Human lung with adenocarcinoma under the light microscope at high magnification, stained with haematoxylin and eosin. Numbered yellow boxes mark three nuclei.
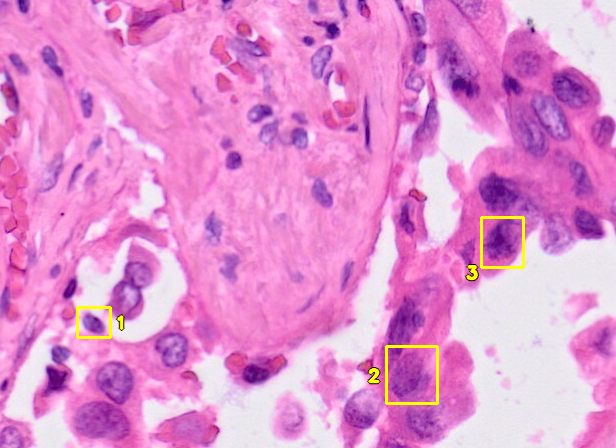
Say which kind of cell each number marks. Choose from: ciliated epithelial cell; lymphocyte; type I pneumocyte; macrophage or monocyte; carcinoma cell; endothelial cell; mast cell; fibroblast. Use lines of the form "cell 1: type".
cell 1: lymphocyte
cell 2: carcinoma cell
cell 3: carcinoma cell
